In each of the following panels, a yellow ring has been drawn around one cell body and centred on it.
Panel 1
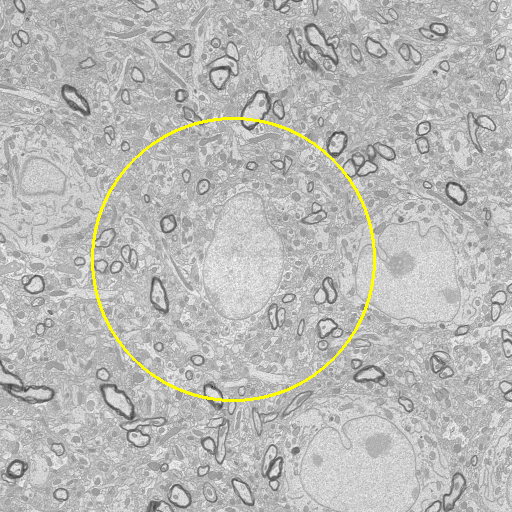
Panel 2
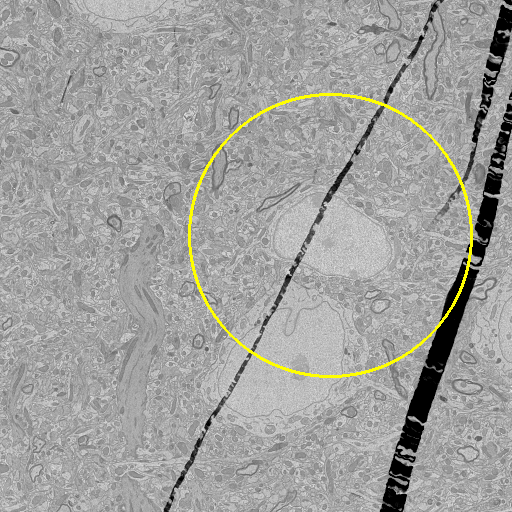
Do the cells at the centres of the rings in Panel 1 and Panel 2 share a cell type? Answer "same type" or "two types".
same type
